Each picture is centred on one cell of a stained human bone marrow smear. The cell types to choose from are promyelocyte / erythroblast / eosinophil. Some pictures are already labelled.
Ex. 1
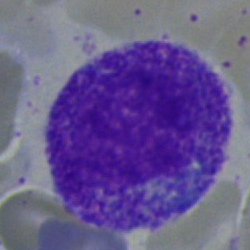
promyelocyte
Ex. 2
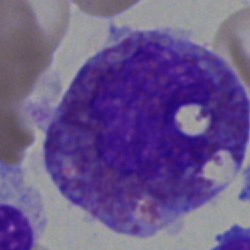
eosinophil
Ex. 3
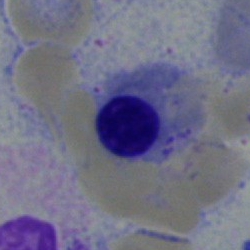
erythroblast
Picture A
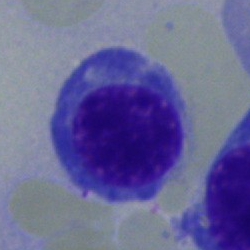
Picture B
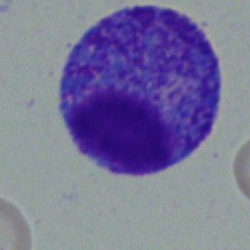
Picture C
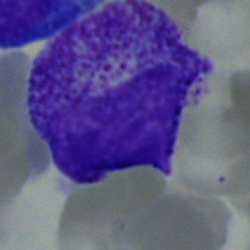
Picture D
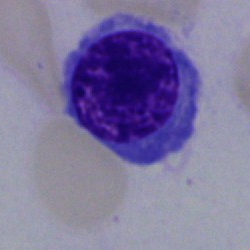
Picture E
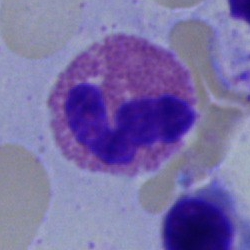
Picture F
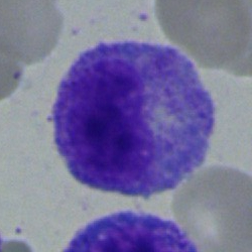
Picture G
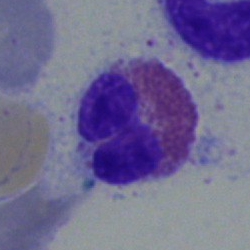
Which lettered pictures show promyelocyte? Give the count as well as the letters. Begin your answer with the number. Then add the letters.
3, namely B, C, F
